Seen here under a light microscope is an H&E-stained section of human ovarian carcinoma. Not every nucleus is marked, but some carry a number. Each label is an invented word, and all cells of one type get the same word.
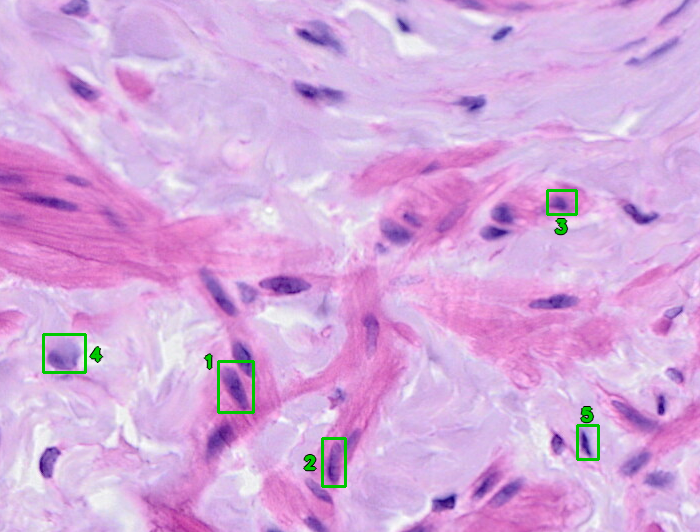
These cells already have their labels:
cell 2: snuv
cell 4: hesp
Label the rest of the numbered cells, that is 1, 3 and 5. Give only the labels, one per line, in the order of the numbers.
snuv
snuv
hesp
